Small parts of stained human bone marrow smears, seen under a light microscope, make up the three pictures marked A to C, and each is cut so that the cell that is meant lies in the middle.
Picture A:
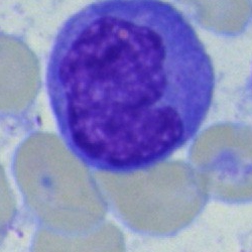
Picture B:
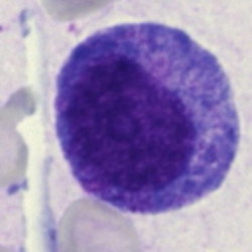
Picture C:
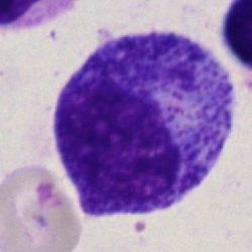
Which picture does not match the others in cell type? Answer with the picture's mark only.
A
